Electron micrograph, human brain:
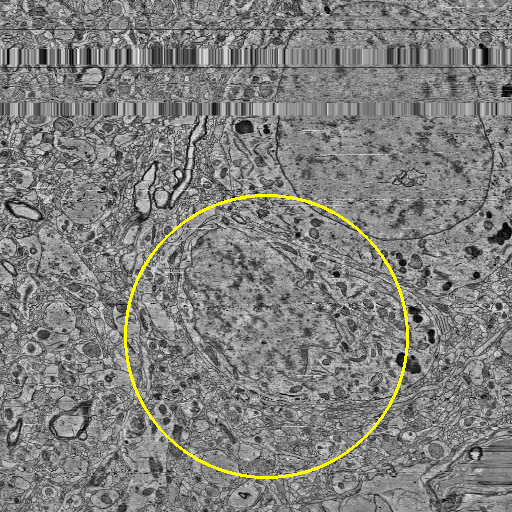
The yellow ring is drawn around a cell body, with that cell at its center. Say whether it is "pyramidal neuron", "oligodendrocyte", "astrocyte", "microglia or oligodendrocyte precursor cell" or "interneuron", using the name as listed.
interneuron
